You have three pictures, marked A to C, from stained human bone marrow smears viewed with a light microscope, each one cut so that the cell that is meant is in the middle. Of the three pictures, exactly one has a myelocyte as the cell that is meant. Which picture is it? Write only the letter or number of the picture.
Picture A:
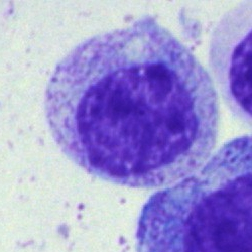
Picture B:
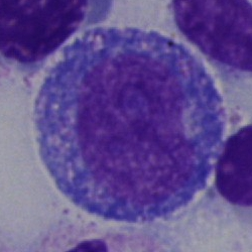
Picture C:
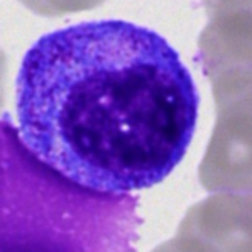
A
